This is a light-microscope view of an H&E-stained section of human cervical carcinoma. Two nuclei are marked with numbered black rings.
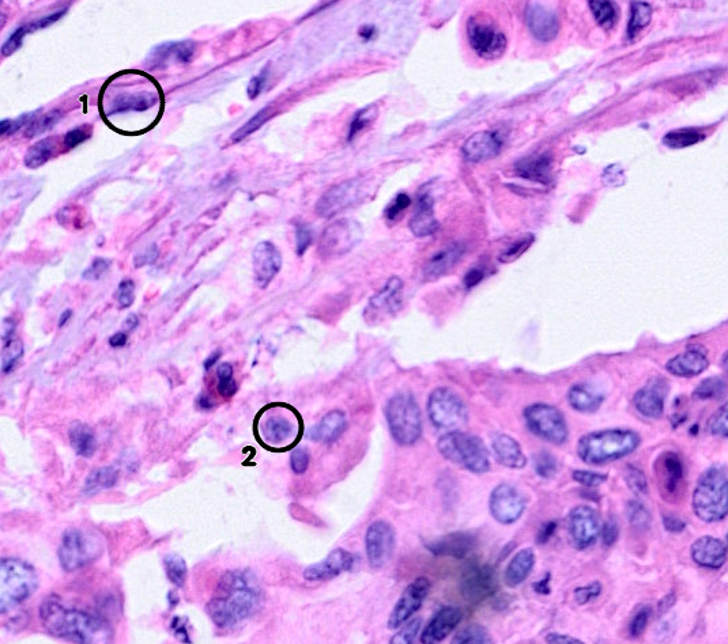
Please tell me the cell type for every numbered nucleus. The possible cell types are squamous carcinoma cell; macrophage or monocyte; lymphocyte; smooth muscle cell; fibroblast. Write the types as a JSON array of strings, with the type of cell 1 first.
["fibroblast", "macrophage or monocyte"]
